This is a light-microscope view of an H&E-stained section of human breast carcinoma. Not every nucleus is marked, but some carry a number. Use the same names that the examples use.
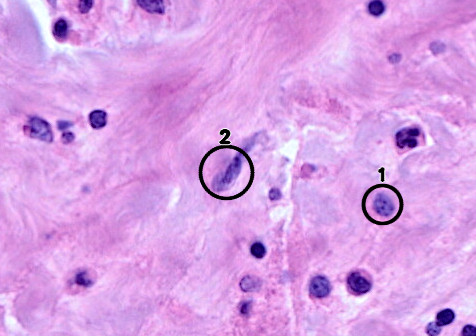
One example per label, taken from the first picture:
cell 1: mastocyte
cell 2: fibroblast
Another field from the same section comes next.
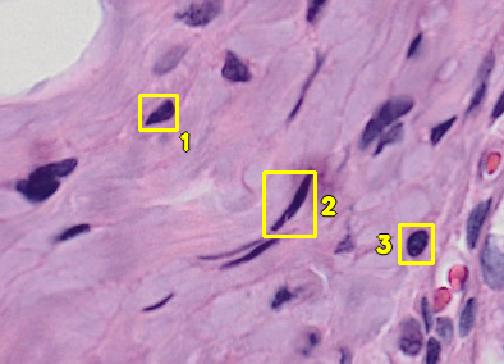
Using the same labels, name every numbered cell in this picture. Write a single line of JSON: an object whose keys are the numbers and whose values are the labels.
{"1": "fibroblast", "2": "fibroblast", "3": "mastocyte"}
